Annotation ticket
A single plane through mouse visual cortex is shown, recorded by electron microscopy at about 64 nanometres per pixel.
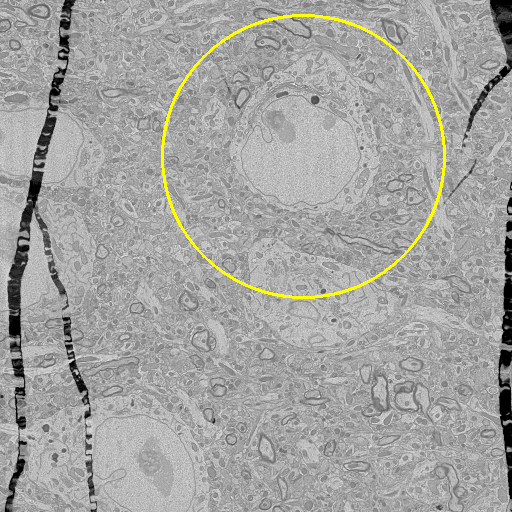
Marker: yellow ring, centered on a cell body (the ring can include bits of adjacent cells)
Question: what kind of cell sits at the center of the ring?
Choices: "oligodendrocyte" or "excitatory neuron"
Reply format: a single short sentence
The ring is centered on an excitatory neuron.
